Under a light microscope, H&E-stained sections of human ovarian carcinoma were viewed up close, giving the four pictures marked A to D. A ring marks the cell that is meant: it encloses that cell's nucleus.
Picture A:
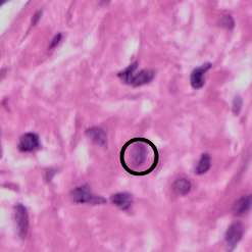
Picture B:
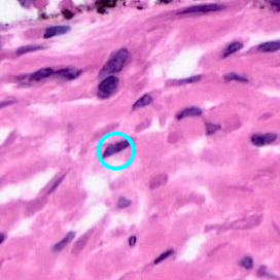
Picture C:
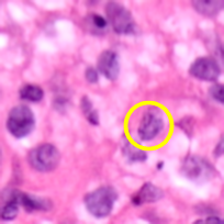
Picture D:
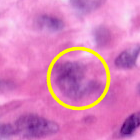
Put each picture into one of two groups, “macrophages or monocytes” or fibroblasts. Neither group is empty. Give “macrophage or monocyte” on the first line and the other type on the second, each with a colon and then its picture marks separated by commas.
macrophage or monocyte: C
fibroblast: A, B, D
